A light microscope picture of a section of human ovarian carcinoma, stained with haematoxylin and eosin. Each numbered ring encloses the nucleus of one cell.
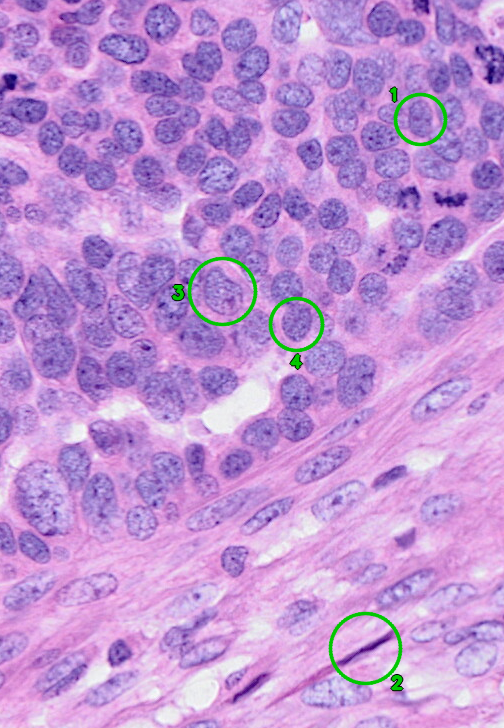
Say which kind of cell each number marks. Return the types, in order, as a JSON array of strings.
["carcinoma cell", "fibroblast", "carcinoma cell", "carcinoma cell"]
